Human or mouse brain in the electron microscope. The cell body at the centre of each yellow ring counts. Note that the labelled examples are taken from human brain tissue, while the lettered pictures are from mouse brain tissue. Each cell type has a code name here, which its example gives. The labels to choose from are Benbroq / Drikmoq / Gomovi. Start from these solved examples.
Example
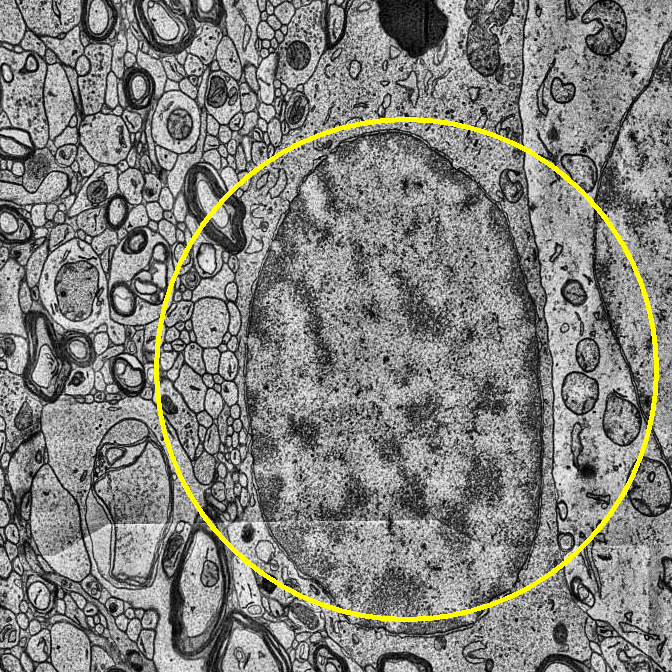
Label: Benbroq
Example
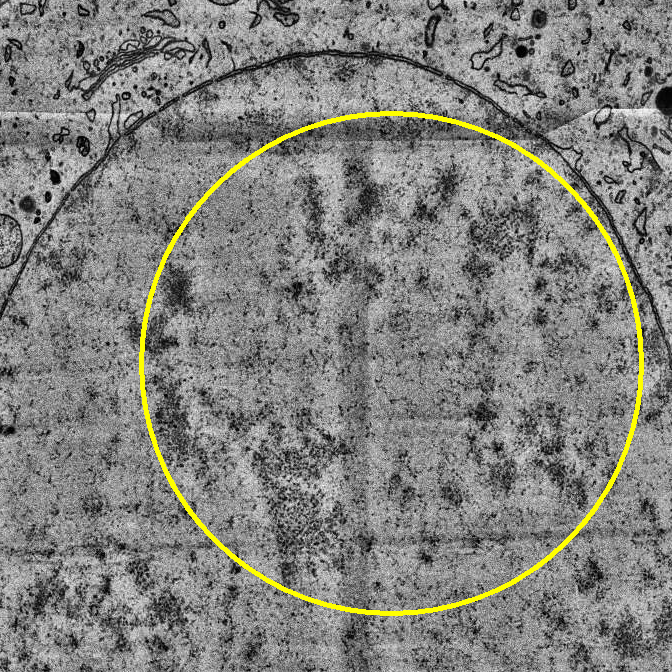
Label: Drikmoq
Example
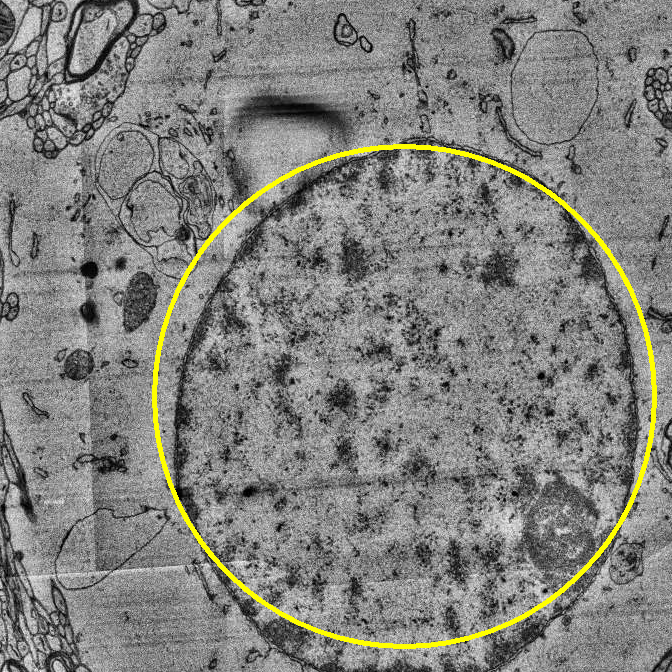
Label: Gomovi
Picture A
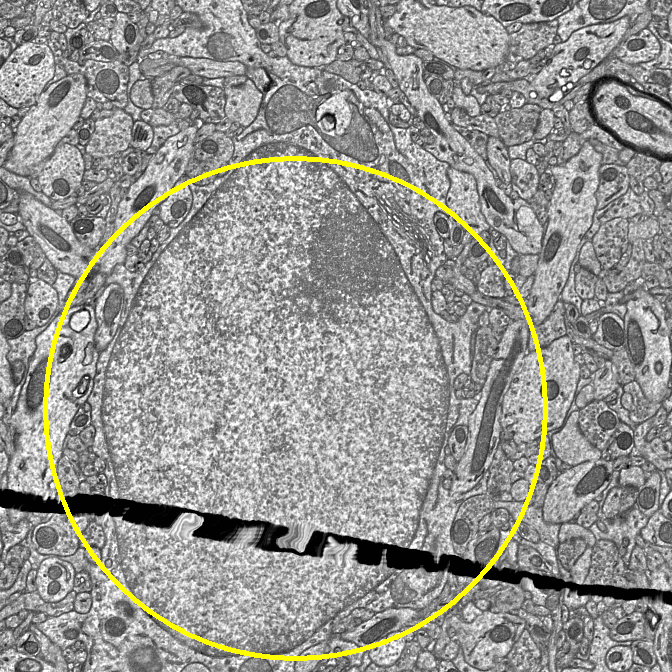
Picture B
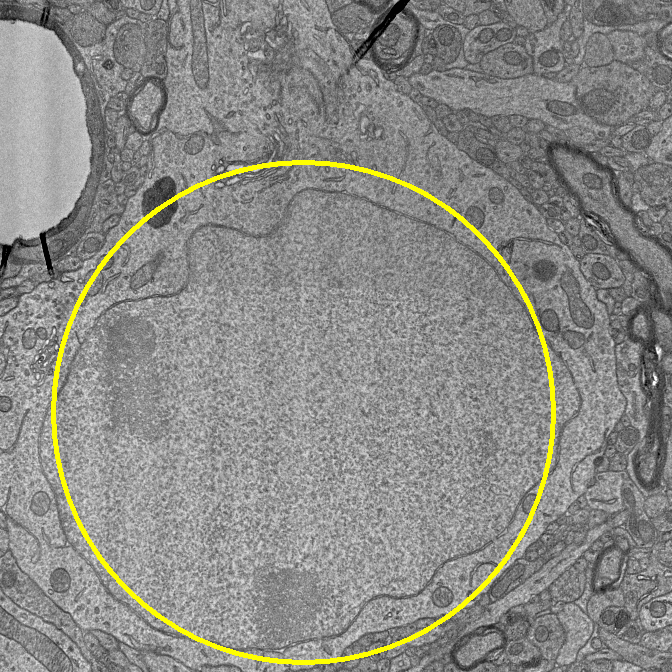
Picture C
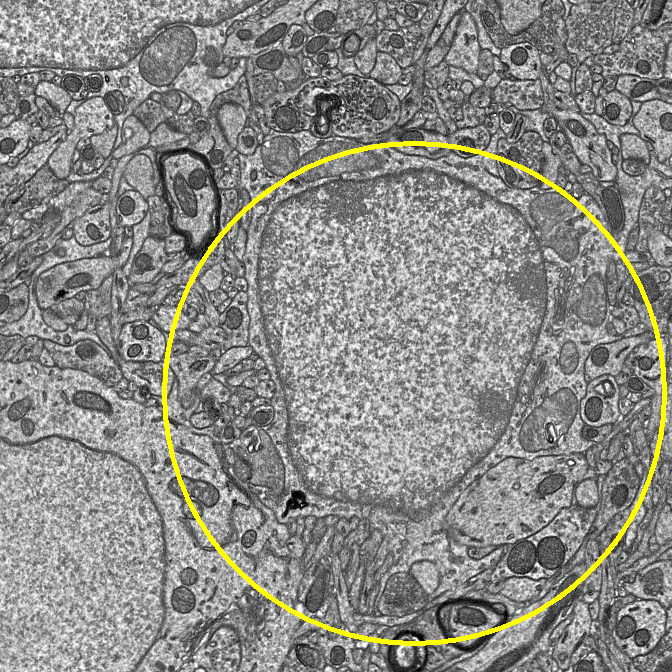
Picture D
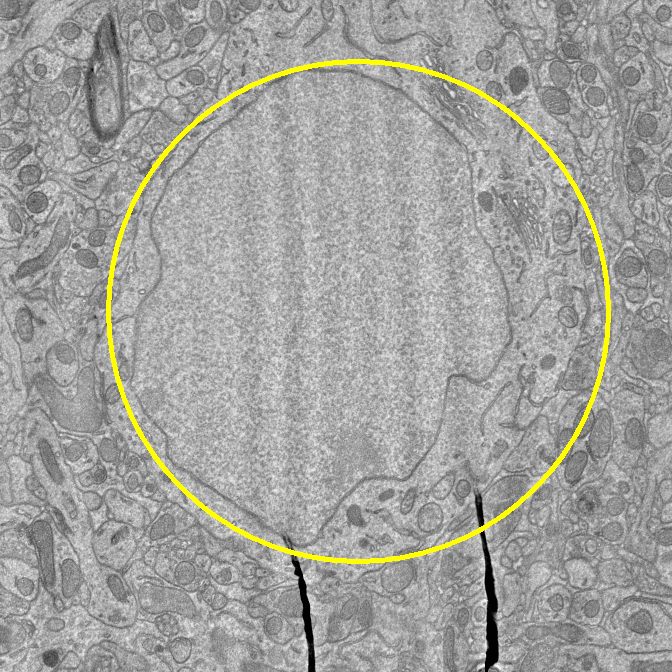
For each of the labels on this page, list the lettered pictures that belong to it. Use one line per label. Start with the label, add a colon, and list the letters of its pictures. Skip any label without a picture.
Drikmoq: B, D
Gomovi: A, C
